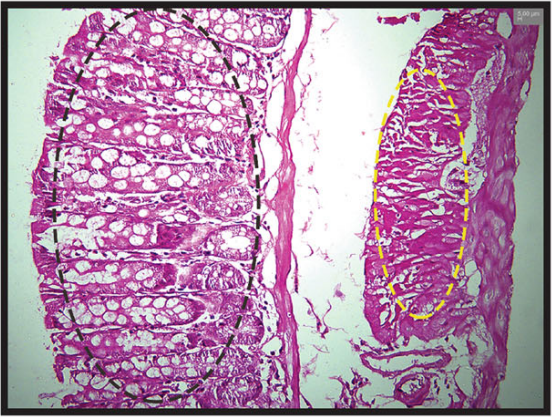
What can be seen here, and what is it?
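Colonic mucosa with straight, closely packed crypts standing side by side, lined by columnar epithelium rich in goblet cells whose mucin shows as pale, clear vacuoles. Purple nuclei lie at the bases of the lining cells, and the crypts are separated by thin strands of pink lamina propria. A separate narrow strip of pink-stained tissue runs alongside, across an empty space.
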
